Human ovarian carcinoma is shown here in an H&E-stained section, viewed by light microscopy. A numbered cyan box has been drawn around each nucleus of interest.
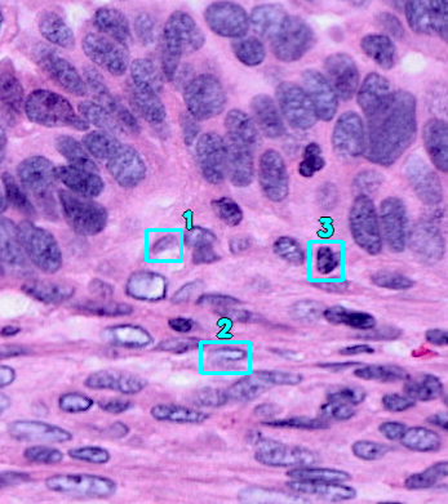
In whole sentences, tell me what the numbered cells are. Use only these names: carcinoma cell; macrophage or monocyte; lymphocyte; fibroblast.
Cells 1 and 2 are fibroblasts. Cell 3 is a lymphocyte.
